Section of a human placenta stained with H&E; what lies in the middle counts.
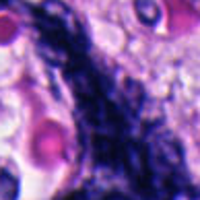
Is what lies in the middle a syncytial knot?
Yes, it is a syncytial knot.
